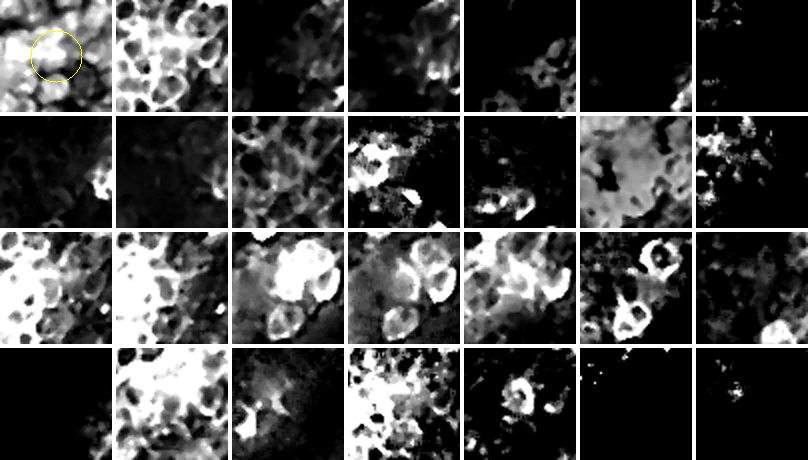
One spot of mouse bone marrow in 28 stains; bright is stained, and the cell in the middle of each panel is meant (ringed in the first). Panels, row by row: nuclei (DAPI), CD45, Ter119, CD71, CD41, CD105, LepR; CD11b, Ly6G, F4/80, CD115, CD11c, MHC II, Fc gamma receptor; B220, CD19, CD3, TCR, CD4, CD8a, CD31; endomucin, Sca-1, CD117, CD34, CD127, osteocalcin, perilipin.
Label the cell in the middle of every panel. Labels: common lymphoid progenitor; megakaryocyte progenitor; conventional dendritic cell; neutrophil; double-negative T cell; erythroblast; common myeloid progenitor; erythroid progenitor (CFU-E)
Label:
erythroid progenitor (CFU-E)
